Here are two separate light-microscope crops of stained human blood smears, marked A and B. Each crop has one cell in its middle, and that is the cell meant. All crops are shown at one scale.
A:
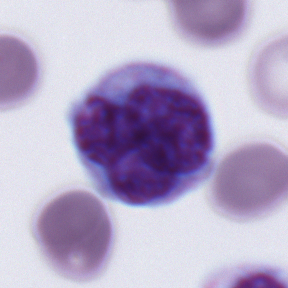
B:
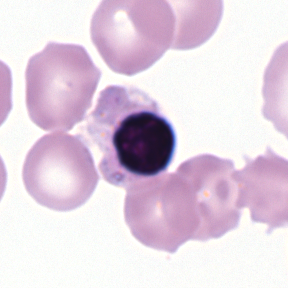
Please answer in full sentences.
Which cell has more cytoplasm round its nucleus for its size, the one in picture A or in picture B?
Of the two, the nucleus in picture B leaves more room for cytoplasm.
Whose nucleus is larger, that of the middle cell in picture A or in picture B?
Picture A shows the larger nucleus; it covers about 4 times the area of the nucleus in picture B.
